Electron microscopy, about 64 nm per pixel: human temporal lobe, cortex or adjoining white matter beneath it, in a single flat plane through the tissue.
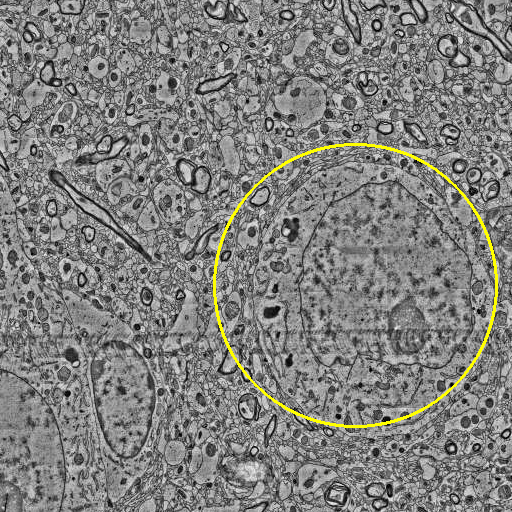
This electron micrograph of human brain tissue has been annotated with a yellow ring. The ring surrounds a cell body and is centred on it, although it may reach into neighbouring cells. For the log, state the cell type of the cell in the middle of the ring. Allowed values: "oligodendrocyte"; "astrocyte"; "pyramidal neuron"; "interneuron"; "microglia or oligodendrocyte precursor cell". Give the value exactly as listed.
pyramidal neuron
